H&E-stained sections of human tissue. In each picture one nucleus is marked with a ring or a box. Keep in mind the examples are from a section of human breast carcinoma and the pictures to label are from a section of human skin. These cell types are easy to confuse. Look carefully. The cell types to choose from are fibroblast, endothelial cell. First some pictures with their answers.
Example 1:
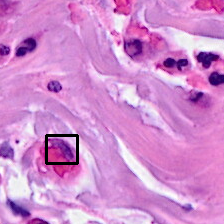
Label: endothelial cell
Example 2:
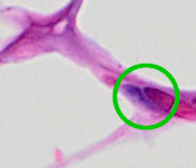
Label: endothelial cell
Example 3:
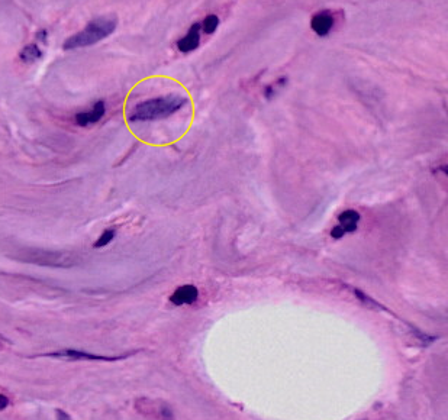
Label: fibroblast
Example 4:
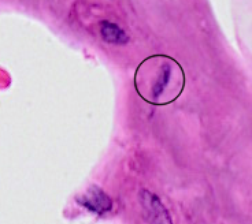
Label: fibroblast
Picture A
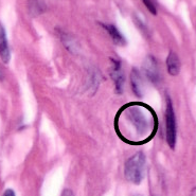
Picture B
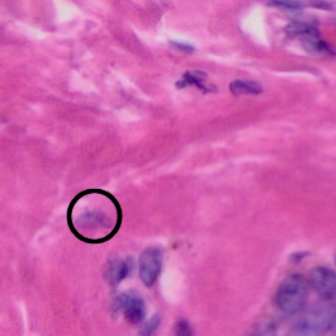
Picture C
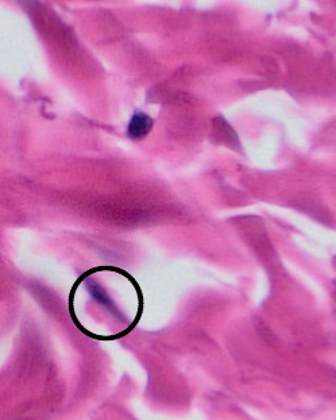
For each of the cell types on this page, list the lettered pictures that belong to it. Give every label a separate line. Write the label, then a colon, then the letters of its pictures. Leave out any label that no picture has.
fibroblast: B, C
endothelial cell: A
